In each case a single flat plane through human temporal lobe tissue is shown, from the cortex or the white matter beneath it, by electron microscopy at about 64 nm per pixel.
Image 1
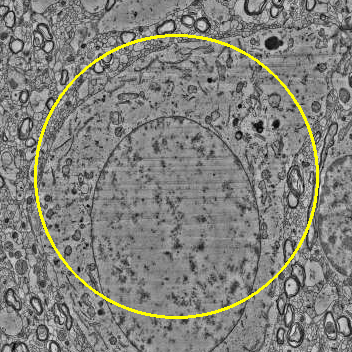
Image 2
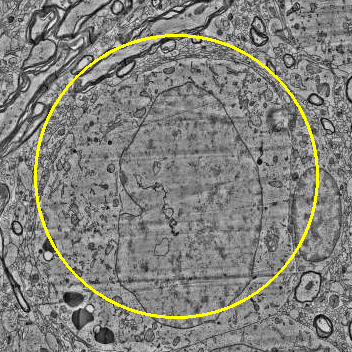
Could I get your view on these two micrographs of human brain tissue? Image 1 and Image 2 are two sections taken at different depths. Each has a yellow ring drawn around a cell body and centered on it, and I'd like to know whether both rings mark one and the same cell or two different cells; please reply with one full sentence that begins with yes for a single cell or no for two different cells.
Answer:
No, the two rings refer to two distinct cells.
